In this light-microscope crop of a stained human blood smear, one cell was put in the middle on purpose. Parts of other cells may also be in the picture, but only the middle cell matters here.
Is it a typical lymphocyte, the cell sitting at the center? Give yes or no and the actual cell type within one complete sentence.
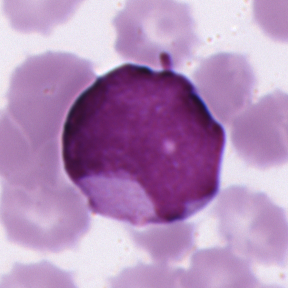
No, in this crop the central cell is a myeloblast instead of a typical lymphocyte.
